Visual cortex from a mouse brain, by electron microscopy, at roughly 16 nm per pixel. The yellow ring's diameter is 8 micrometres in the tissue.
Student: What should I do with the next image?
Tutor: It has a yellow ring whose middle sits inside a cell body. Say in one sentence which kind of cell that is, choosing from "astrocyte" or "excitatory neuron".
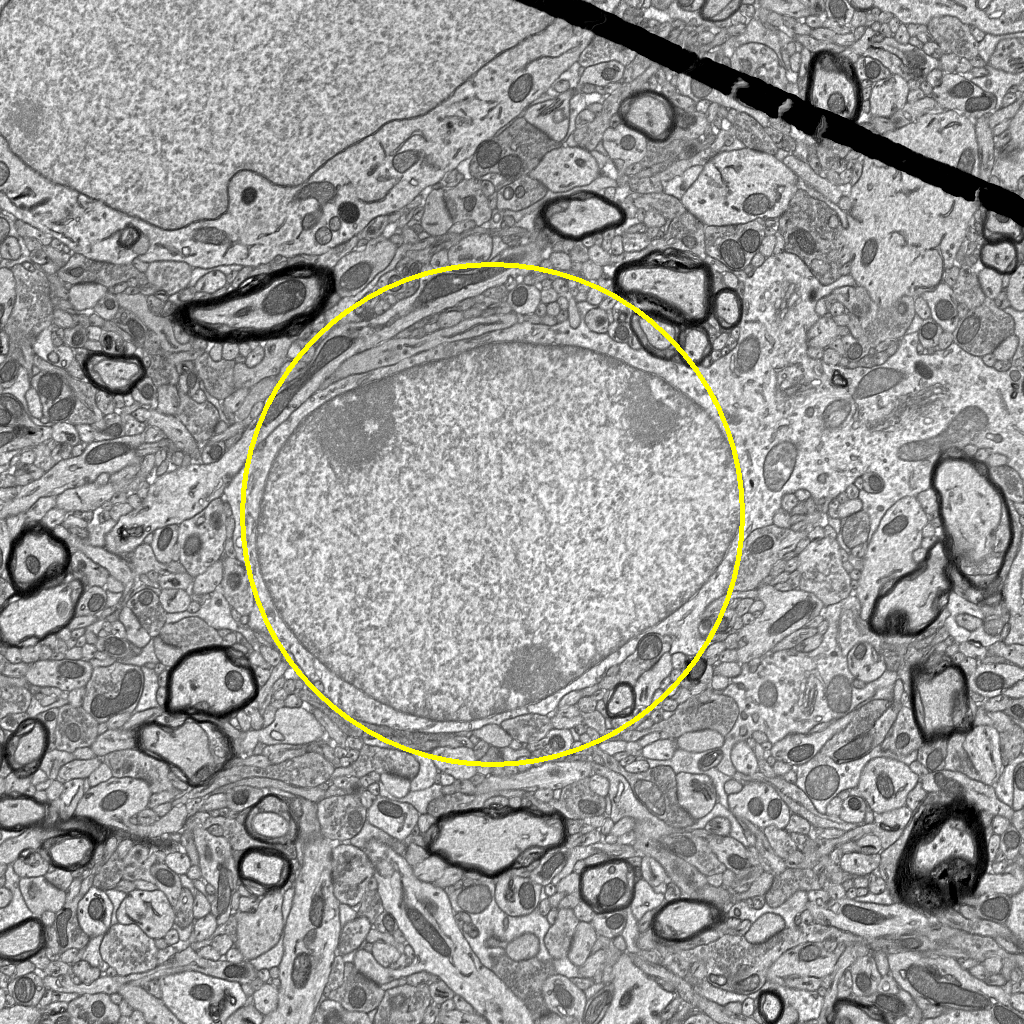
The ring's centre is occupied by an astrocyte.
